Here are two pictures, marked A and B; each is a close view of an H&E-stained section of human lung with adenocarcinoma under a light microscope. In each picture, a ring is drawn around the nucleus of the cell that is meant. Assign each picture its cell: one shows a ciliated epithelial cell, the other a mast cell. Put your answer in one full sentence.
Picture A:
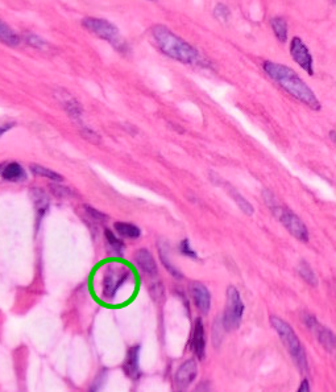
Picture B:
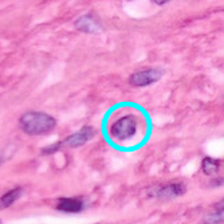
Picture A is of a ciliated epithelial cell, and picture B is of a mast cell.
